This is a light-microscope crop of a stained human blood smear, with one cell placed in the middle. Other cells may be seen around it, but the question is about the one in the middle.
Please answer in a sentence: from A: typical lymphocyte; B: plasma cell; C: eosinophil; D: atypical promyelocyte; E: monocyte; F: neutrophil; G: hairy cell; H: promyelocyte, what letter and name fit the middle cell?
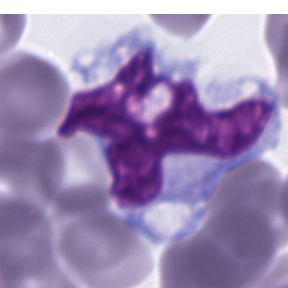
Located in the middle of the crop is a monocyte, and option E is therefore correct.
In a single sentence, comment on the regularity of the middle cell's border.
The perimeter of the cell is irregular, with ragged sections or outward projections.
